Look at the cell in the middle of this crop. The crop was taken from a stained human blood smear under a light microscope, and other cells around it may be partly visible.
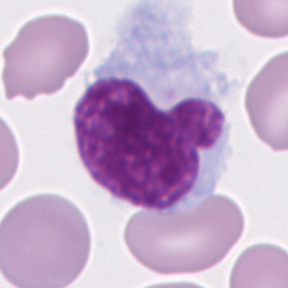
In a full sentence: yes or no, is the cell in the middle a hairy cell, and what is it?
Yes, the middle cell is properly termed a hairy cell.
